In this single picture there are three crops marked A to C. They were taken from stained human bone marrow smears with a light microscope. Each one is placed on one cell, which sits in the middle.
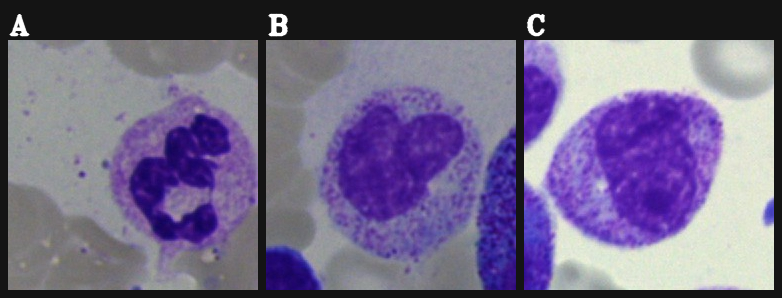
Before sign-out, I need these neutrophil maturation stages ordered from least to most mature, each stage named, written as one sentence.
Ranked by maturation stage, earliest first, the crops read crop C (a myelocyte), crop B (a band neutrophil) and crop A (a segmented neutrophil).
